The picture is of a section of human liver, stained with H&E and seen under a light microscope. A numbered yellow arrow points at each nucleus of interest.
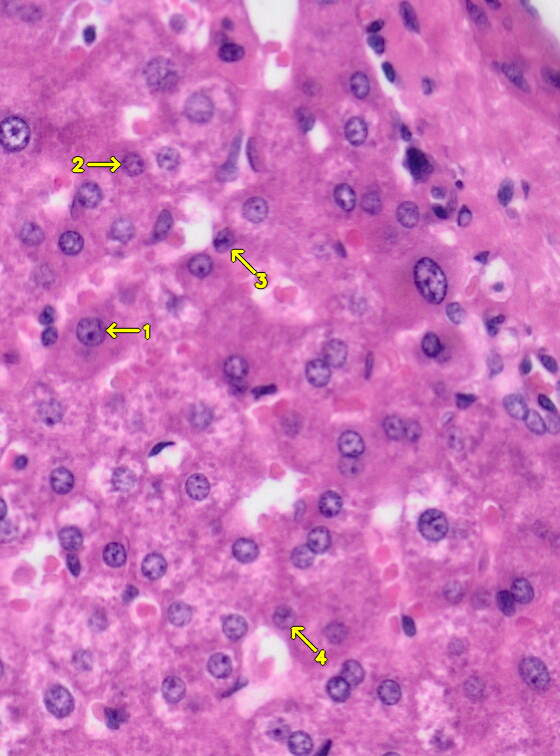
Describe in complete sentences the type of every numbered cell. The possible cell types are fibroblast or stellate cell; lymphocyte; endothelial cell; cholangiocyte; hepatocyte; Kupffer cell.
Cells 1, 2 and 4 are hepatocytes. Cell 3 is an endothelial cell.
